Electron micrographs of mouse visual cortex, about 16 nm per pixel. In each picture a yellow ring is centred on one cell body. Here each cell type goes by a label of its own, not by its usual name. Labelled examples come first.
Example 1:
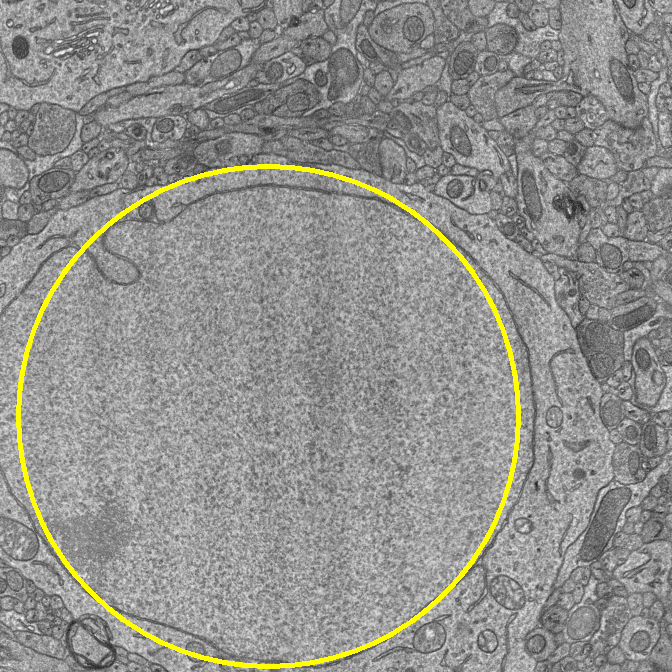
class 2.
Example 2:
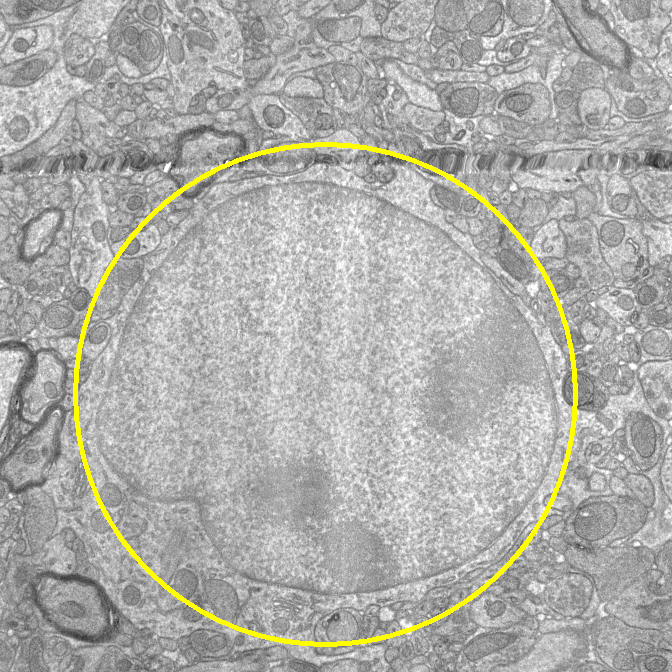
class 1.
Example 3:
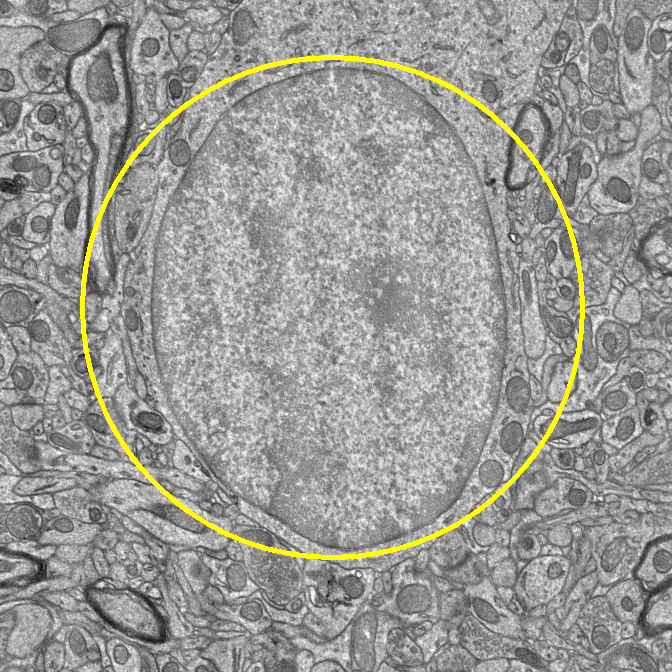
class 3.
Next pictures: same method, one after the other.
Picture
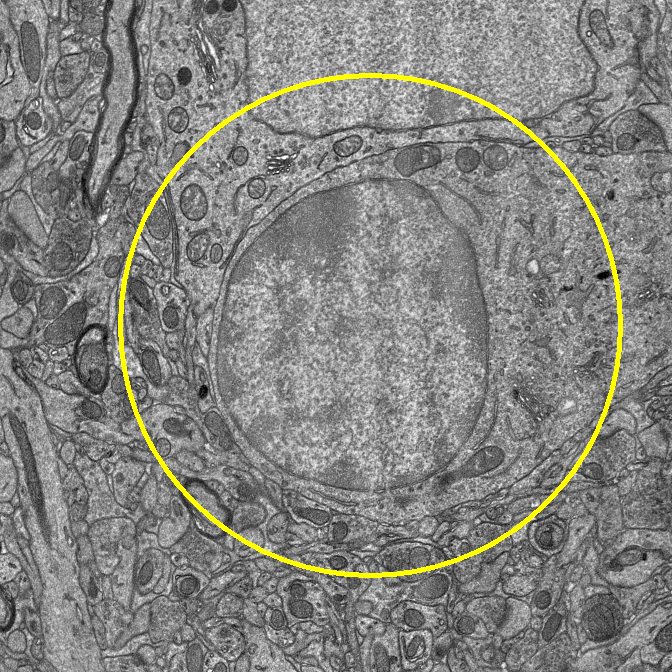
class 3.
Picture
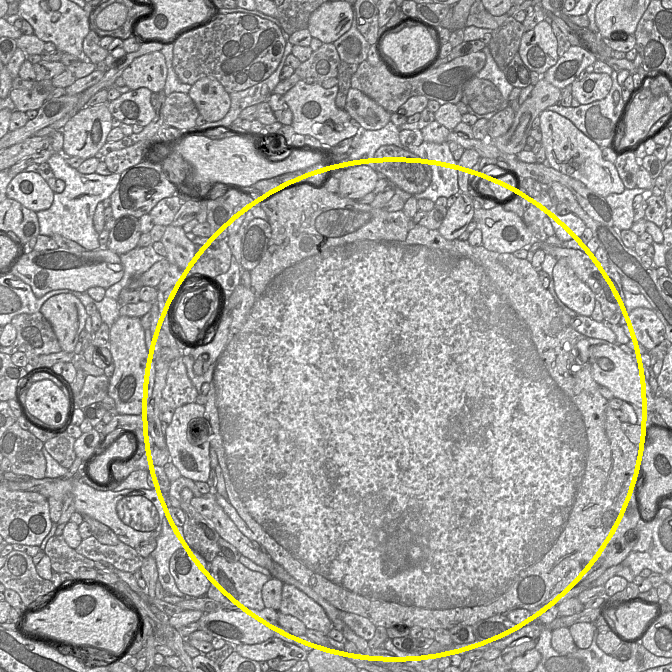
class 3.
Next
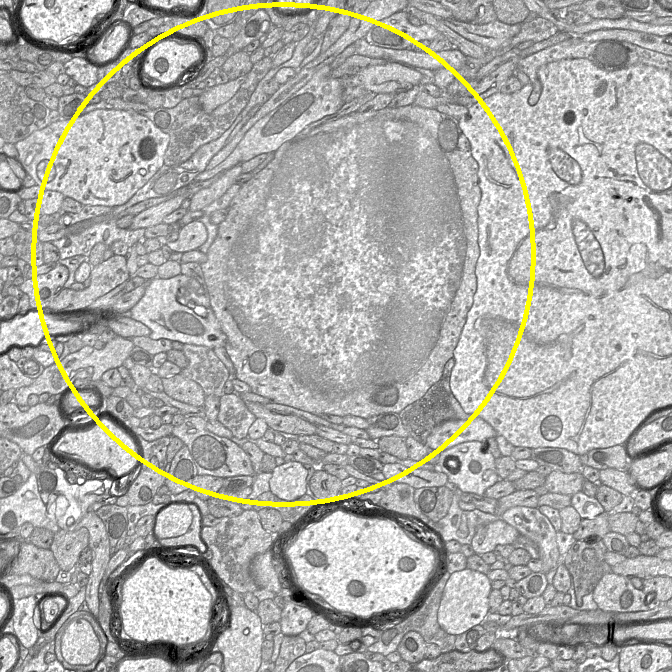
class 3.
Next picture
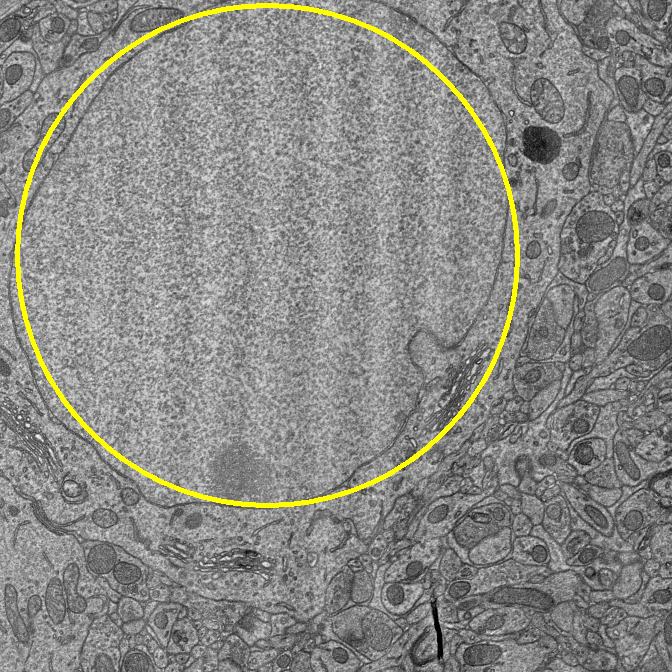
class 2.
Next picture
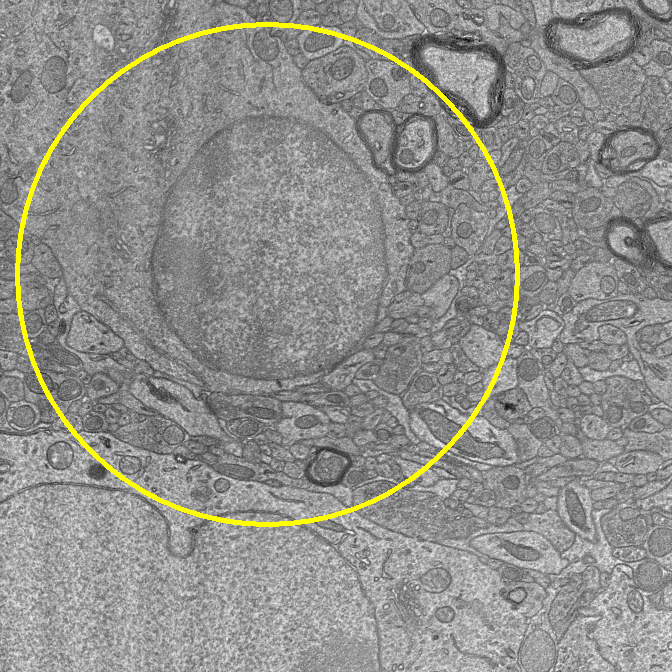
class 3.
